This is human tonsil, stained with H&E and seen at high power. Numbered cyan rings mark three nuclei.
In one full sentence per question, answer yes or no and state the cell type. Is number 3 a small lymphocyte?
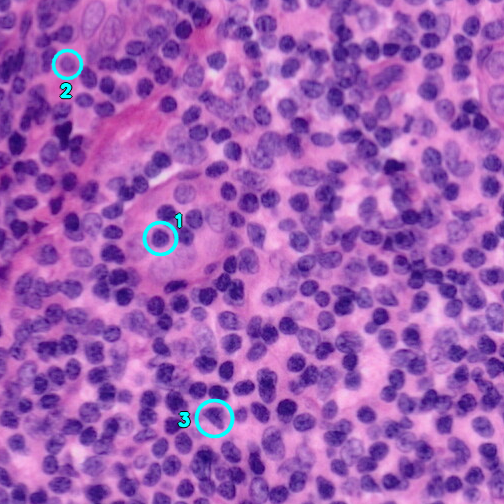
Yes, the cell whose nucleus carries number 3 is a small lymphocyte.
